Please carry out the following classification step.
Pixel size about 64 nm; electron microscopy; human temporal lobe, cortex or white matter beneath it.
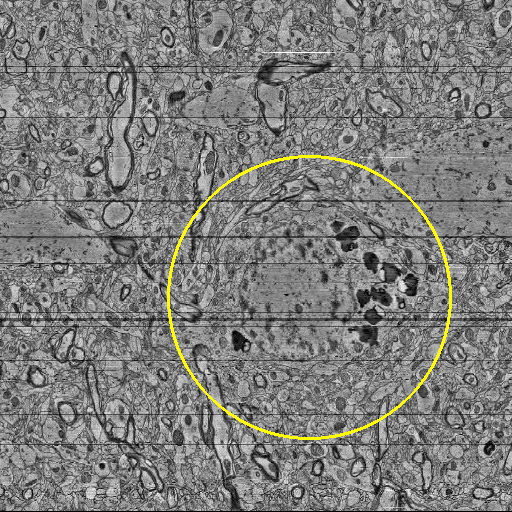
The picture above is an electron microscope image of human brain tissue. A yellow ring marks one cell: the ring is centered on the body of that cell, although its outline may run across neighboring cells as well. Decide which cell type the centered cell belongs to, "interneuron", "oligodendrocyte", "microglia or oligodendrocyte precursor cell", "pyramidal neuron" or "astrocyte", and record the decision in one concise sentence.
The cell centered in the yellow ring is an interneuron.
